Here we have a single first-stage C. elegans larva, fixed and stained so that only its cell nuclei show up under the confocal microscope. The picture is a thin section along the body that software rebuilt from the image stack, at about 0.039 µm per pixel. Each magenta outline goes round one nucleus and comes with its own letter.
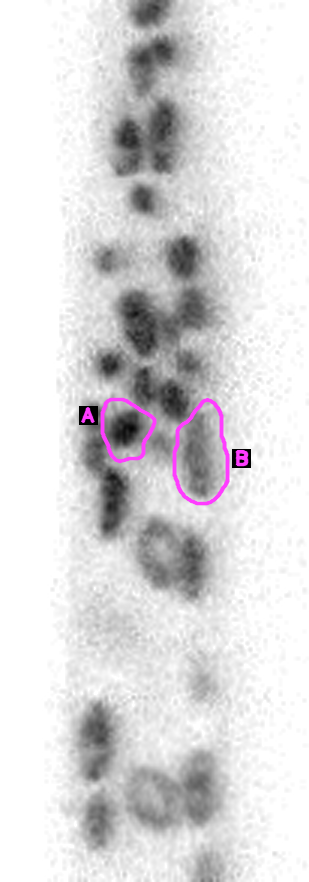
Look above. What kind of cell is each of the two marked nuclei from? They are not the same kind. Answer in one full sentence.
B belongs to a P cell (ventral epidermal blast cell), and A to a neuron.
